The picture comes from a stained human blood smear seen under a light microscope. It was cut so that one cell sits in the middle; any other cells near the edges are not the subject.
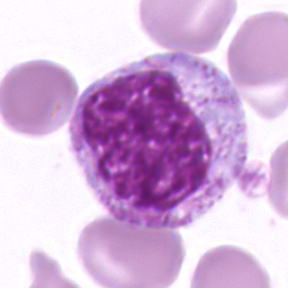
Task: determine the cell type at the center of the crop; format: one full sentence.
On this slide crop, the central cell is a myelocyte.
